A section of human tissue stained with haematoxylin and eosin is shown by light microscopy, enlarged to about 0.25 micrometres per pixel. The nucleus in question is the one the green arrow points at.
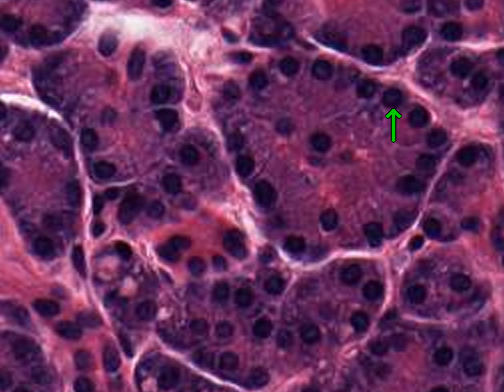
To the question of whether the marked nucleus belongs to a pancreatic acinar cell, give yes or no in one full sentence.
Yes, the nucleus singled out in the image belongs to a pancreatic acinar cell.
